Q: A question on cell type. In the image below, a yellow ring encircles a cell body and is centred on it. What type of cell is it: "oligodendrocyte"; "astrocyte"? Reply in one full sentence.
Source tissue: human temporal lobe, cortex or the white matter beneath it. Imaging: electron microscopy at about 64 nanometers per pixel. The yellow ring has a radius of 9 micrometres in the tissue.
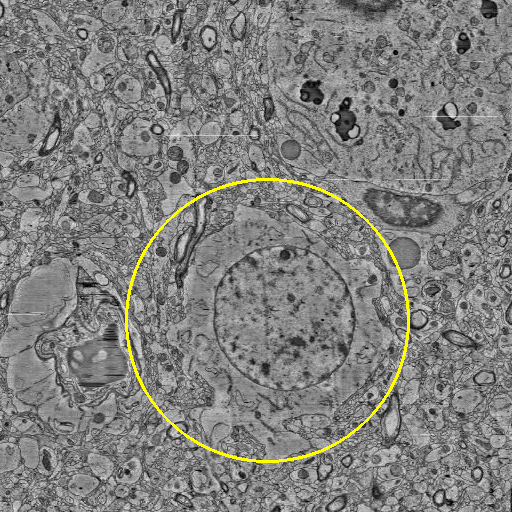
It is an astrocyte whose cell body sits at the centre of the yellow ring in the image.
